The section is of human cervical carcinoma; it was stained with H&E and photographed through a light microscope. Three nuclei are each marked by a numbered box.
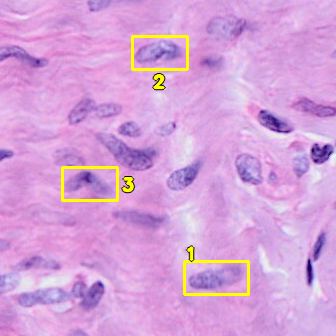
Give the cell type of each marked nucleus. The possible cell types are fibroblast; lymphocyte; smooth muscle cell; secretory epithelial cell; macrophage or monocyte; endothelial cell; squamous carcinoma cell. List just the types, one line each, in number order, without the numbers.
fibroblast
smooth muscle cell
fibroblast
